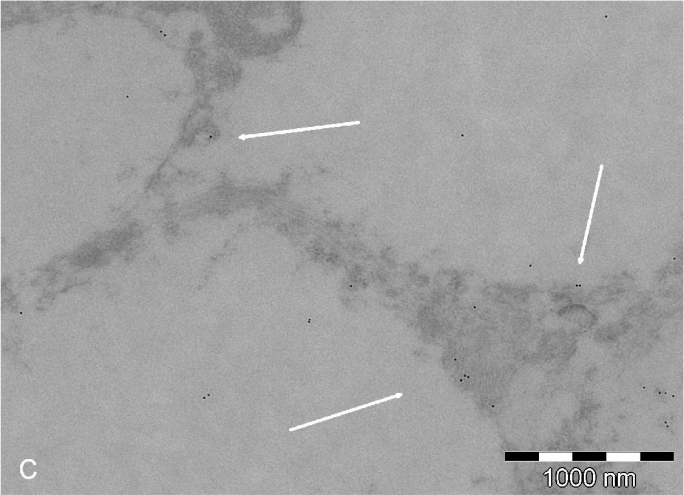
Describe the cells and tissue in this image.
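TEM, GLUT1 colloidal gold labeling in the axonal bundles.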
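Broad pale, almost homogeneous areas are separated by irregular darker bands of flocculent and fibrillar material. Small black gold particles sit along these darker bands at their borders with the pale areas.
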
